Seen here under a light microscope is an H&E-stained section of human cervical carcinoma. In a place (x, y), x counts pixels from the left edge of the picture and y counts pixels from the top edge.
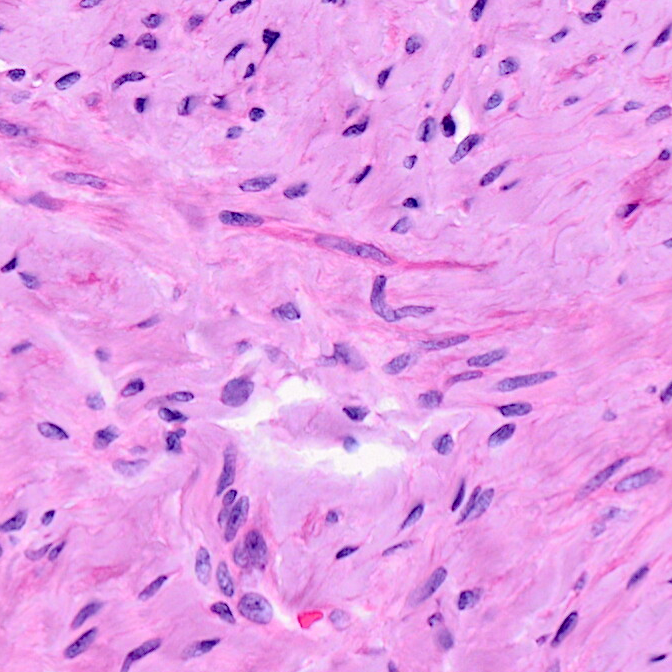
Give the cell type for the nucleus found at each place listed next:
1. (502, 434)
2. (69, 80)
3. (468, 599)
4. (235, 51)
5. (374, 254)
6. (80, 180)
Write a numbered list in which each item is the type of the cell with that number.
1. fibroblast
2. fibroblast
3. fibroblast
4. fibroblast
5. smooth muscle cell
6. smooth muscle cell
